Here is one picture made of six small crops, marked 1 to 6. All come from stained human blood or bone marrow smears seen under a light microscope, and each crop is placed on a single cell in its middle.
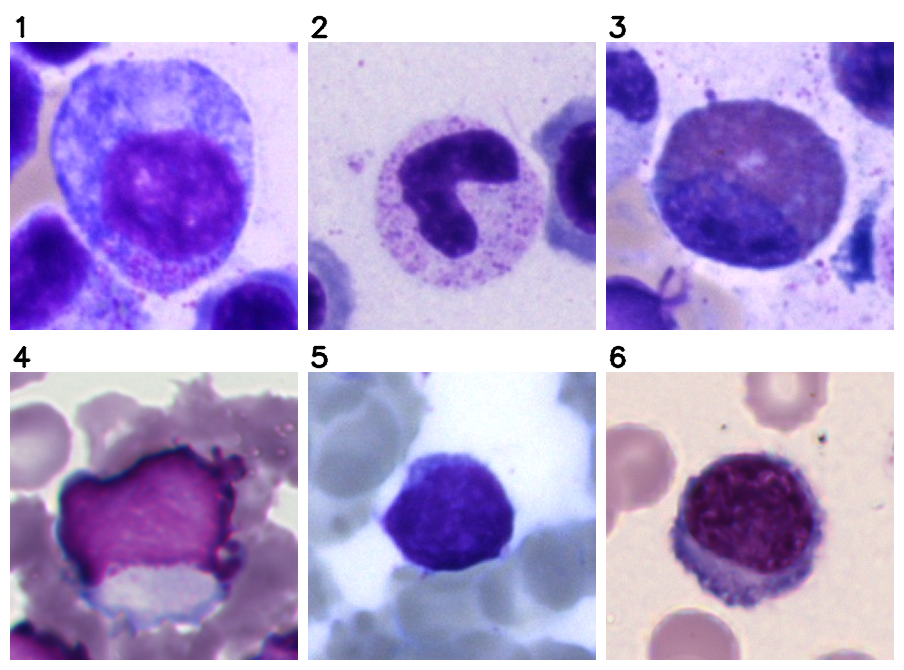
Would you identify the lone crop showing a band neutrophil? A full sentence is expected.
The requested cell, a band neutrophil, is the one in crop 2.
